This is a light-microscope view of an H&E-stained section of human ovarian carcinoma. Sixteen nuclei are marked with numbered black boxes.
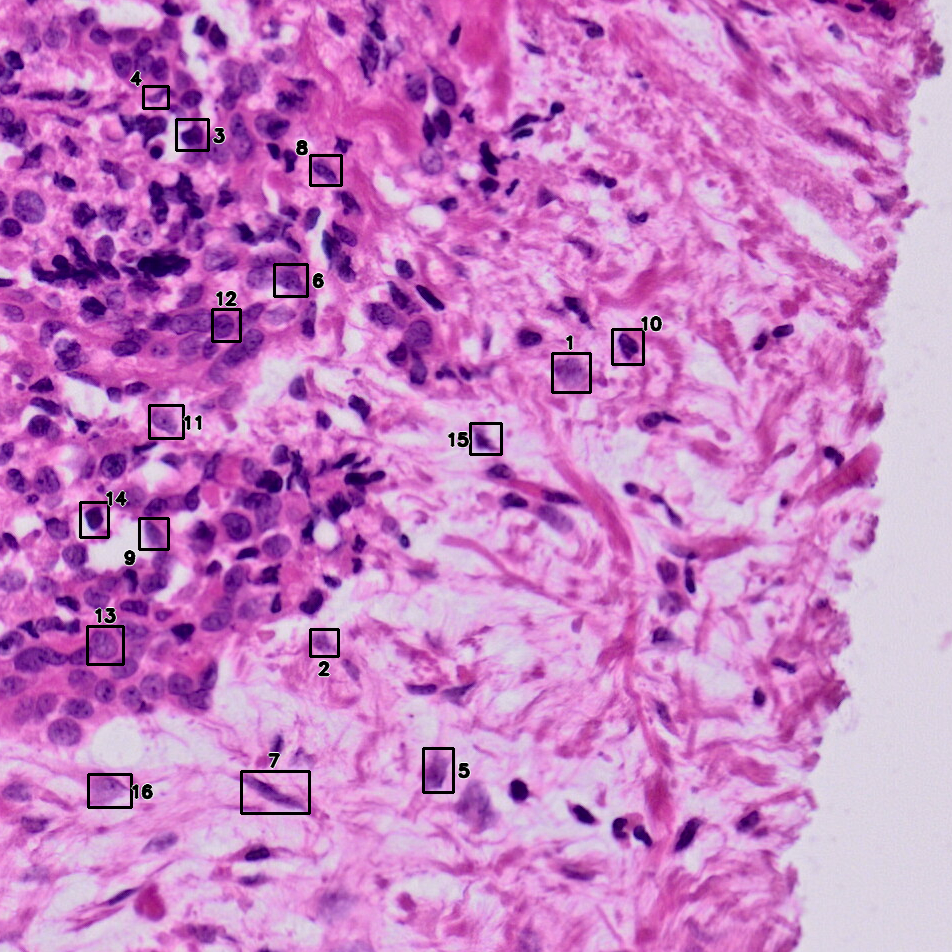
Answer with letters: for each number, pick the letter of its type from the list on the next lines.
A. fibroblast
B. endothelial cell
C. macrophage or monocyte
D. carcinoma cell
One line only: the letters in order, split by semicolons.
A; A; D; D; A; D; A; C; D; C; C; D; D; D; A; A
